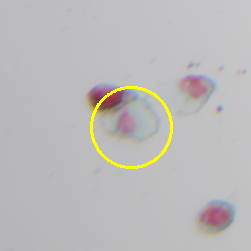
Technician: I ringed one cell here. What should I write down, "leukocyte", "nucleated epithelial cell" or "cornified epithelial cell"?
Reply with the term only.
nucleated epithelial cell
